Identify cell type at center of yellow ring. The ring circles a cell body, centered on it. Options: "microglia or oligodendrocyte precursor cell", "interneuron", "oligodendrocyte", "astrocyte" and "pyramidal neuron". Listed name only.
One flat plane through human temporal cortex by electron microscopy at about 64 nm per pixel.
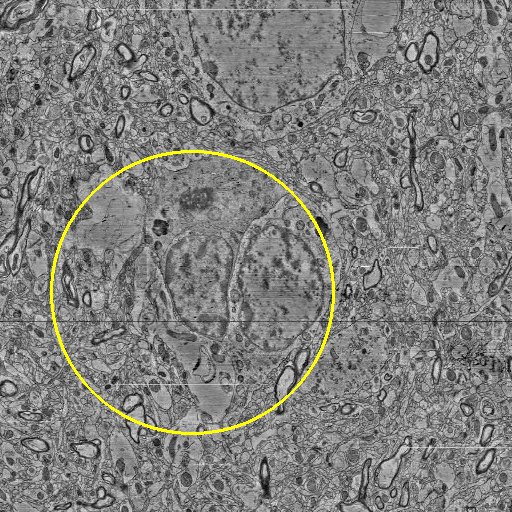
microglia or oligodendrocyte precursor cell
